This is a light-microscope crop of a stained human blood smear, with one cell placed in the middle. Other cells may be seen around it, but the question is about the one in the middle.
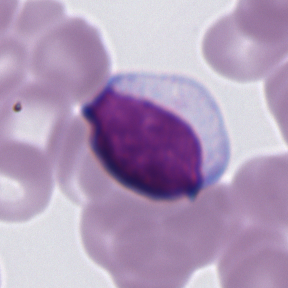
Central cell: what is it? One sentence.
The centrally located cell in the crop is a large granular lymphocyte.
